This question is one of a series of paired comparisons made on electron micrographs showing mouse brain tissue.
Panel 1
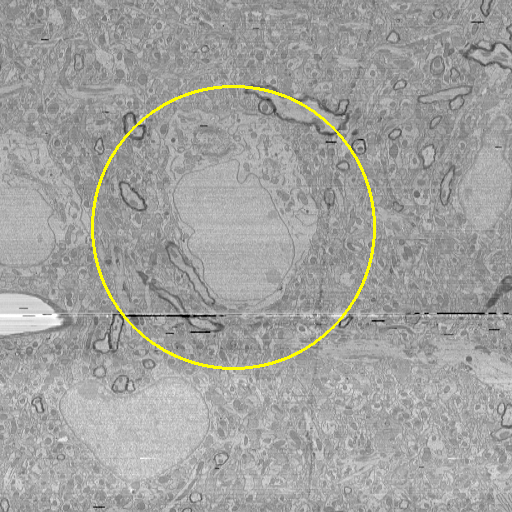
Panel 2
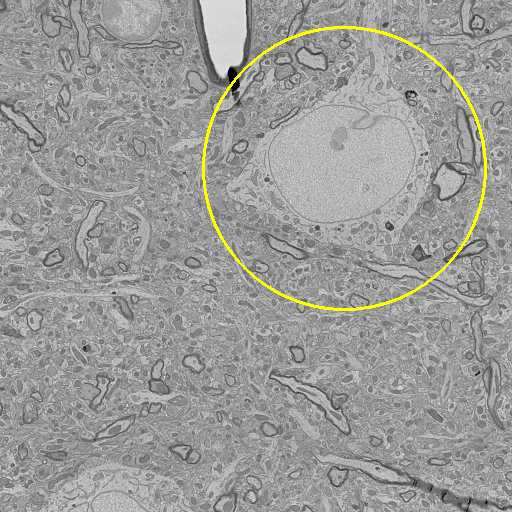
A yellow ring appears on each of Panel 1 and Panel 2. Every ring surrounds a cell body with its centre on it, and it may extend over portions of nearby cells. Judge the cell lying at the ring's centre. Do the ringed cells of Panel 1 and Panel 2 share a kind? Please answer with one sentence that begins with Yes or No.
Yes, the ring-centre cell in Panel 1 and the one in Panel 2 are of one kind.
